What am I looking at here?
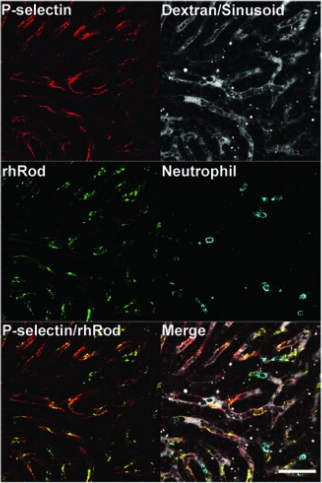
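Red signal forms streaks and short lines that follow the course of these channels. Green signal appears as fine dots and short streaks along the same lines, and in the overlay many of these streaks appear yellow to orange. In the combined image the cyan cells lie inside the gray channels next to the red and yellow lining.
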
